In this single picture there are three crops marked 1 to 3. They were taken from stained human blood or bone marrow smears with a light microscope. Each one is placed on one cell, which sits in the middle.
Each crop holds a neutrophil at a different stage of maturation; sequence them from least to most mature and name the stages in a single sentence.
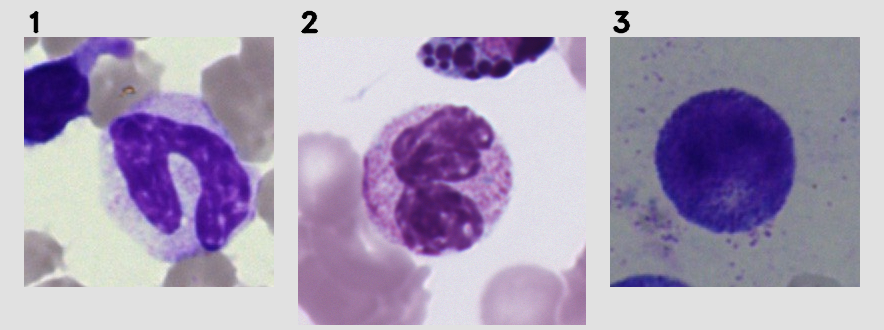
In rising order of maturity, the crops are crop 3 (a promyelocyte), crop 1 (a band neutrophil) and crop 2 (a segmented neutrophil).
